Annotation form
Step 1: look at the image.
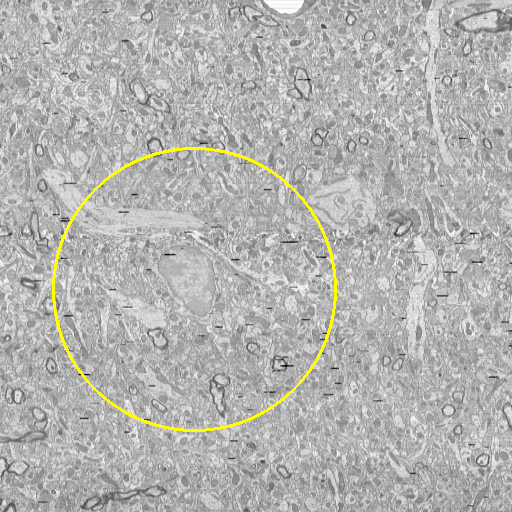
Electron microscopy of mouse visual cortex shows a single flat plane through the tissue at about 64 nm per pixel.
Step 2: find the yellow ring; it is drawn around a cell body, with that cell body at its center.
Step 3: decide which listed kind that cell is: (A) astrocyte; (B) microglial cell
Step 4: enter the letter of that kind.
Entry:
B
